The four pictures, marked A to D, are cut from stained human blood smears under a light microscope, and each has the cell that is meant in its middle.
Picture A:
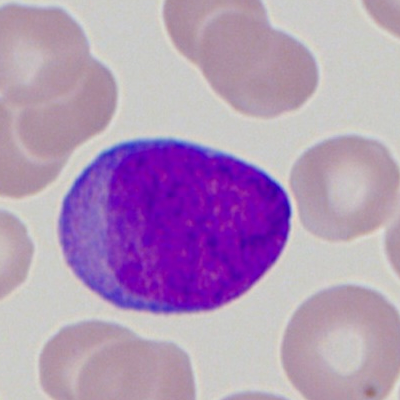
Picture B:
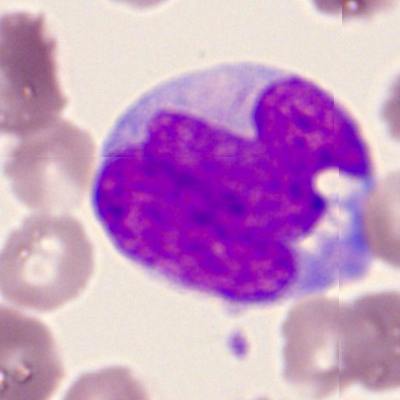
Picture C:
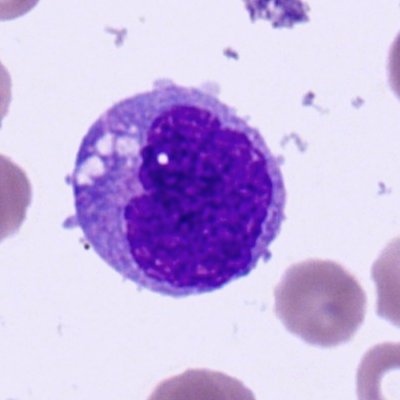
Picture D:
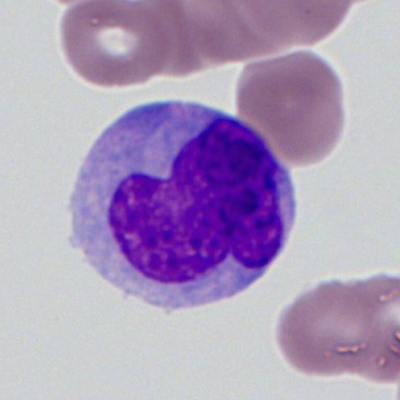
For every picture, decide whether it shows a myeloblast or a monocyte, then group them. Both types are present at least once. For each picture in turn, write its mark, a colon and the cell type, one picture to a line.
A: myeloblast
B: monocyte
C: monocyte
D: monocyte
